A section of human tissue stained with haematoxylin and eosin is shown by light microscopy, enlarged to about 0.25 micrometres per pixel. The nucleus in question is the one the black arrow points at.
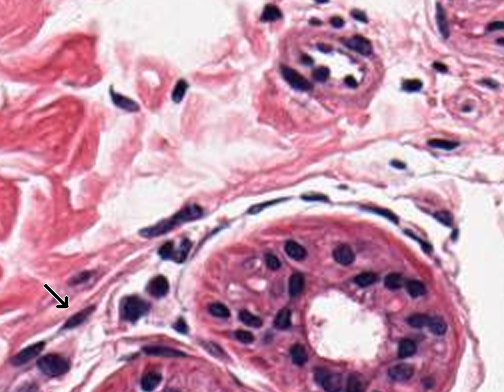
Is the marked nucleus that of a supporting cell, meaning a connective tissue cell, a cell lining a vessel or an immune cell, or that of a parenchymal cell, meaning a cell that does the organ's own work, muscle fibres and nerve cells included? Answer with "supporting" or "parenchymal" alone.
supporting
